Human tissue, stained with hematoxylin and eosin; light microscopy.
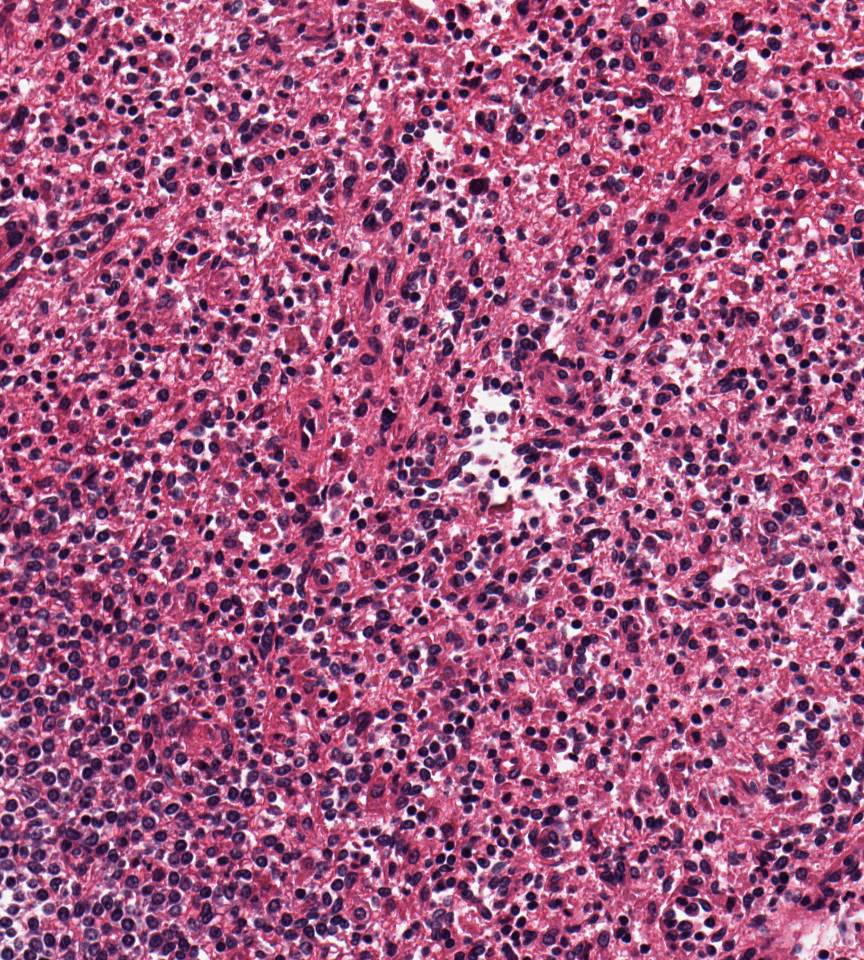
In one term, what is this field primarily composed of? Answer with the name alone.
red pulp of the spleen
